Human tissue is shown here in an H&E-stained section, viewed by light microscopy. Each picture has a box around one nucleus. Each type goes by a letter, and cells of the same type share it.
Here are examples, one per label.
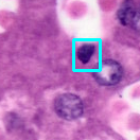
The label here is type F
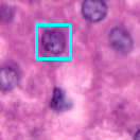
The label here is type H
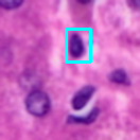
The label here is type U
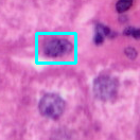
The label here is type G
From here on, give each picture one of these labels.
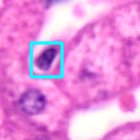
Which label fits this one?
type G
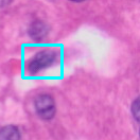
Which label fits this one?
type G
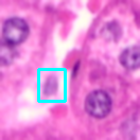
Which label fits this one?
type G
